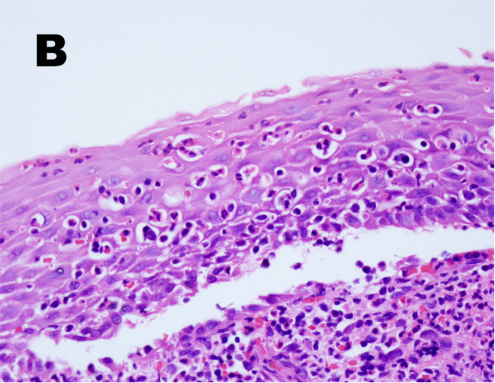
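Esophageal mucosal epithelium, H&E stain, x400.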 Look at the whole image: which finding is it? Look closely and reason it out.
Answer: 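Many small inflammatory cells with lobed dark nuclei lie within the squamous epithelium. Dense inflammatory cells fill the tissue beneath the epithelium. On this evidence: Mixed infiltration of eosinophils and neutrophils.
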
